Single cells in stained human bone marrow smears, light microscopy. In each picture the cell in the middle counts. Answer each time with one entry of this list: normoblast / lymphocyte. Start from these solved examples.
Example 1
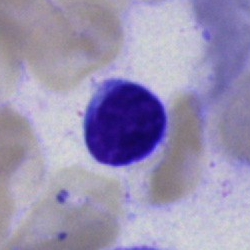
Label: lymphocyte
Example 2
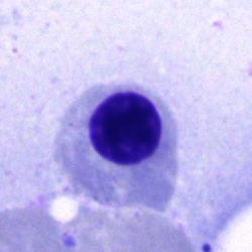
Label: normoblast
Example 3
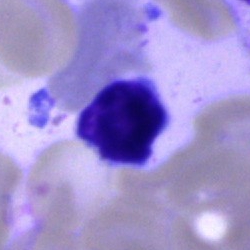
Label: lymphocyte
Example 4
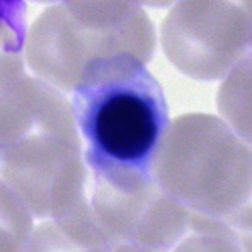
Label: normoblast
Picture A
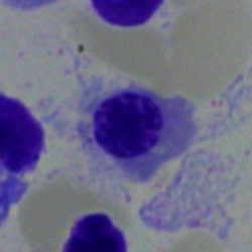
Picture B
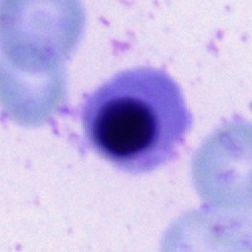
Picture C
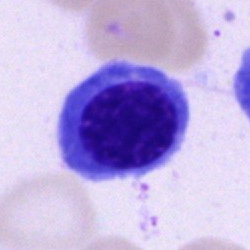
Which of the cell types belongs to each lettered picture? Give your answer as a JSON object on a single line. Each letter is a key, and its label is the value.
{"A": "normoblast", "B": "normoblast", "C": "normoblast"}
